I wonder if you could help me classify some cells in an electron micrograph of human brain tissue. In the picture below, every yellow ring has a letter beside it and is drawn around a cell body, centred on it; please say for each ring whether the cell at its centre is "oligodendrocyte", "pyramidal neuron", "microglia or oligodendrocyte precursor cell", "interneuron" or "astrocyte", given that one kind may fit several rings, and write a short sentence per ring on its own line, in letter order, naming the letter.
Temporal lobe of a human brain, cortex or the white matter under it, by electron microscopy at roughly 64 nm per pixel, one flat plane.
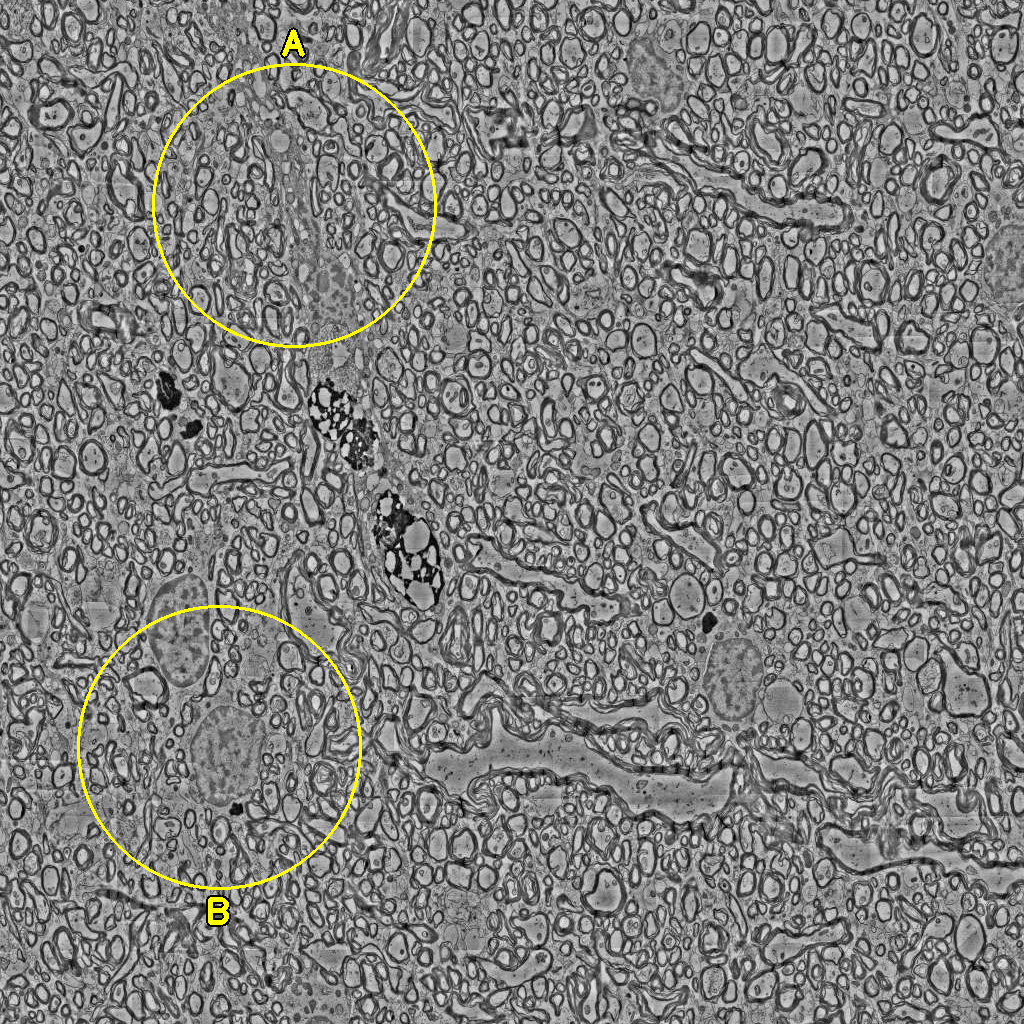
Centred in ring A is an astrocyte.
Centred in ring B is an oligodendrocyte.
